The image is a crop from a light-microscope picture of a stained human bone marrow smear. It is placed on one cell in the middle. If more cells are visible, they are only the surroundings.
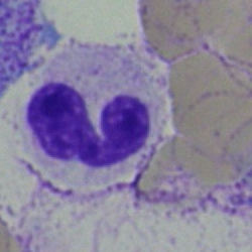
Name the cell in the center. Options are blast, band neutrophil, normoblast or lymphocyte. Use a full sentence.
What sits at the centre of this crop is a band neutrophil.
